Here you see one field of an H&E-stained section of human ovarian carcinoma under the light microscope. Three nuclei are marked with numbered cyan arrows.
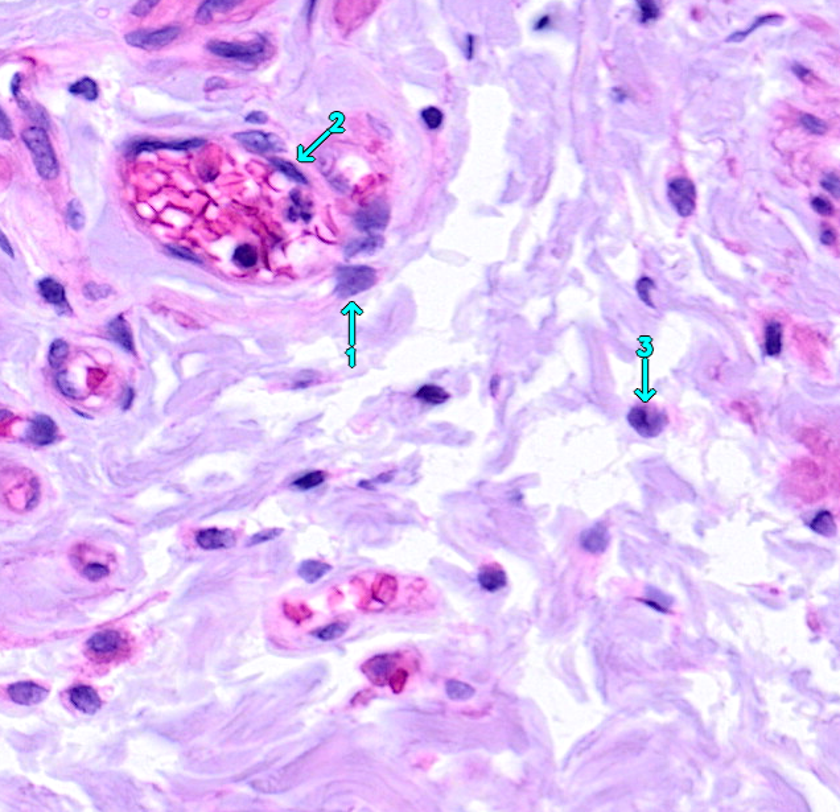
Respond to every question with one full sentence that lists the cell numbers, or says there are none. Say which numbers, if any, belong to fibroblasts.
Regarding the numbered cells 1 and 3, these are fibroblasts.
